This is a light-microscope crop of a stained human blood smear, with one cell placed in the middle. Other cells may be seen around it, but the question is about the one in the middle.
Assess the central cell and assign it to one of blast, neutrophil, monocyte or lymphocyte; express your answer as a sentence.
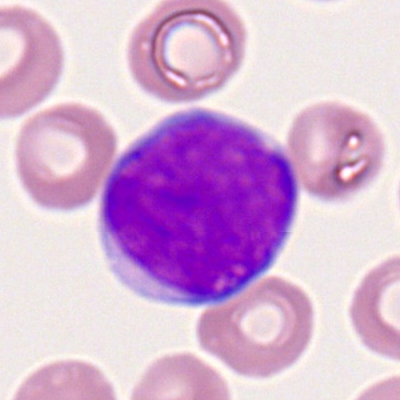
Occupying the centre of the crop is a blast.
